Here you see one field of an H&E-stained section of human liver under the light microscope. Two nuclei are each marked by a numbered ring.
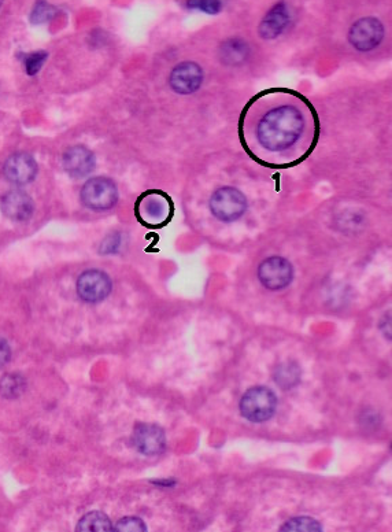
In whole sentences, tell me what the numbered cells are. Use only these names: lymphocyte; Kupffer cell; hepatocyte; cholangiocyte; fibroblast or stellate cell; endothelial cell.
Cell 1 is a hepatocyte. Cell 2 is a lymphocyte.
